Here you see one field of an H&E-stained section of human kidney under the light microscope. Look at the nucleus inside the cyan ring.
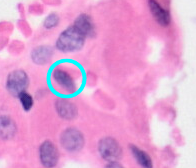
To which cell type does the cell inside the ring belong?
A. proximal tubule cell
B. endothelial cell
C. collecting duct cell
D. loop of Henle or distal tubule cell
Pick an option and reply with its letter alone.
B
